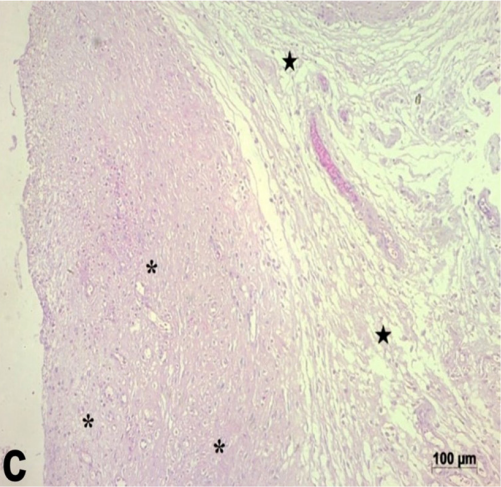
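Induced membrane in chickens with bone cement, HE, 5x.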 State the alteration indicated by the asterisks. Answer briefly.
Fibrous tissue proliferation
